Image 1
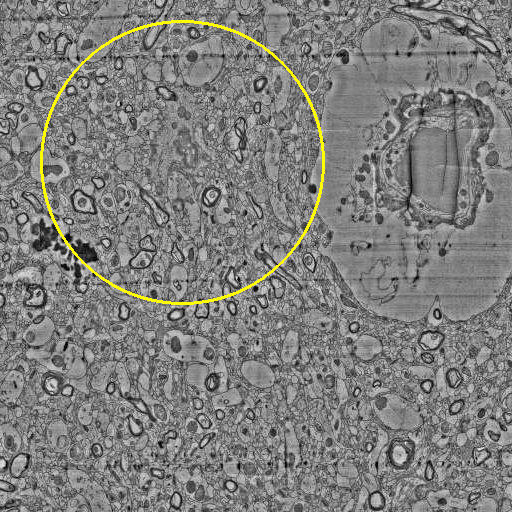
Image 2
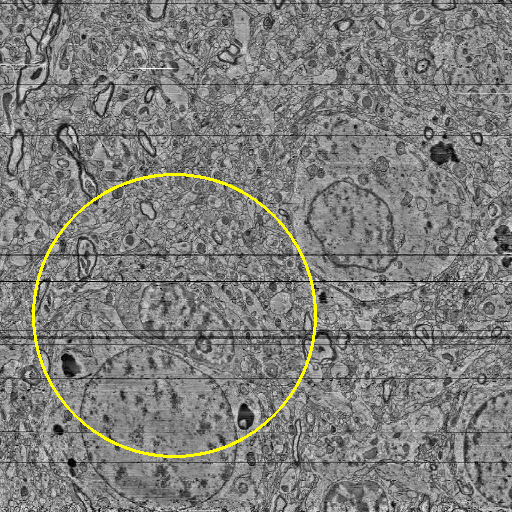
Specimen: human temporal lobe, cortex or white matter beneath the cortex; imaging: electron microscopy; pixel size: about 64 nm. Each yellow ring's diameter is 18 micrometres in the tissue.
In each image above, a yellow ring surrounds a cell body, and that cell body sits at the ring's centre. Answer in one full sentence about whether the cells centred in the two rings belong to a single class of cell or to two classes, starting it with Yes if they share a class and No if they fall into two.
Yes, the cells centred in the two yellow rings belong to a single class of cell.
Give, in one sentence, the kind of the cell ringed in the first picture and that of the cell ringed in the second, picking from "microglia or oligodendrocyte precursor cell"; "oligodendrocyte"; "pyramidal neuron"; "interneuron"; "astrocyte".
The first and the second cell are each an oligodendrocyte.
